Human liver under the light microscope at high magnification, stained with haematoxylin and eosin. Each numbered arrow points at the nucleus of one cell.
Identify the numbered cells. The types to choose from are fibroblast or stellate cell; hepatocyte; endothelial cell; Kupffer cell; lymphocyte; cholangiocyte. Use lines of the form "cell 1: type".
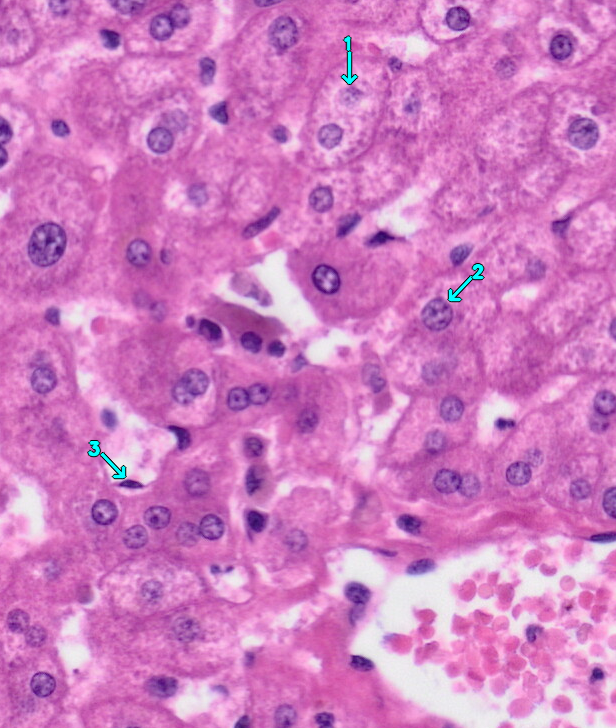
cell 1: hepatocyte
cell 2: hepatocyte
cell 3: endothelial cell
